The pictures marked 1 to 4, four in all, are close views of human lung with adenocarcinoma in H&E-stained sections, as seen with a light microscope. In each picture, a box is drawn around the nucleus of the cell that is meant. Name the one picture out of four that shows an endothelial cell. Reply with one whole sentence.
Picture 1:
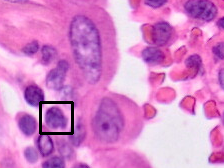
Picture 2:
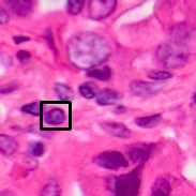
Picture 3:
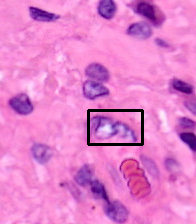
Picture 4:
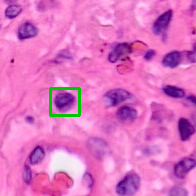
Picture 3 shows the endothelial cell.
